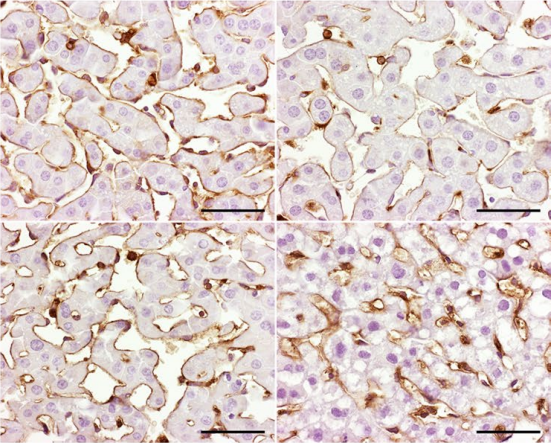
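These are sections of liver in which cords of hepatocytes are separated by sinusoids whose lining is stained brown. The hepatocytes are large polygonal cells with pale cytoplasm and round, centrally placed purple nuclei. In most fields the sinusoids are wide, open, irregular channels between the cords.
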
